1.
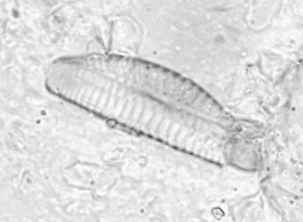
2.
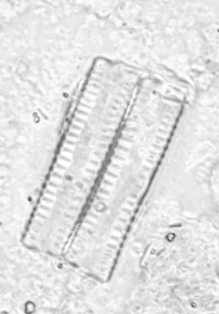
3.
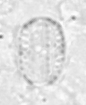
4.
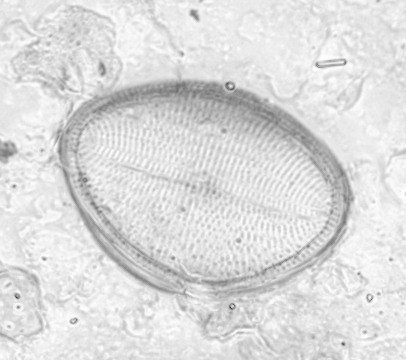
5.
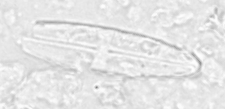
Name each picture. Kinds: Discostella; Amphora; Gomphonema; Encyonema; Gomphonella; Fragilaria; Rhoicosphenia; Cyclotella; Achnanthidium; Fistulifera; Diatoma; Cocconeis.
Picture 1: Encyonema
Picture 2: Fragilaria
Picture 3: Amphora
Picture 4: Cocconeis
Picture 5: Achnanthidium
